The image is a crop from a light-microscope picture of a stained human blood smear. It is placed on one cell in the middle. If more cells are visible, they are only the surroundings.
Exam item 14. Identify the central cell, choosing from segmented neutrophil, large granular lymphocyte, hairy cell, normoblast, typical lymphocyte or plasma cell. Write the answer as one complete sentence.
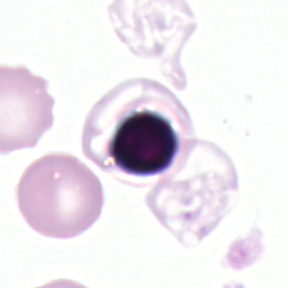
The cell centred in this crop is categorized as a normoblast.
